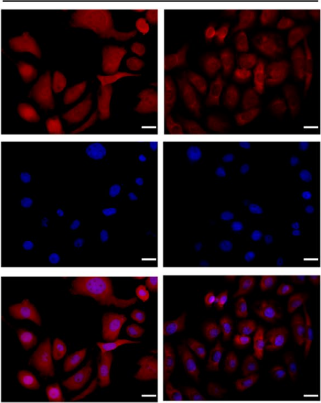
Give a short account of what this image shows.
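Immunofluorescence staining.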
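The red signal fills the cytoplasm of each cell and also overlies the nucleus, so in the merged row the nuclei look pinkish-purple inside red cell bodies. The cells are polygonal to spindle-shaped and lie close together, some touching their neighbours.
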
